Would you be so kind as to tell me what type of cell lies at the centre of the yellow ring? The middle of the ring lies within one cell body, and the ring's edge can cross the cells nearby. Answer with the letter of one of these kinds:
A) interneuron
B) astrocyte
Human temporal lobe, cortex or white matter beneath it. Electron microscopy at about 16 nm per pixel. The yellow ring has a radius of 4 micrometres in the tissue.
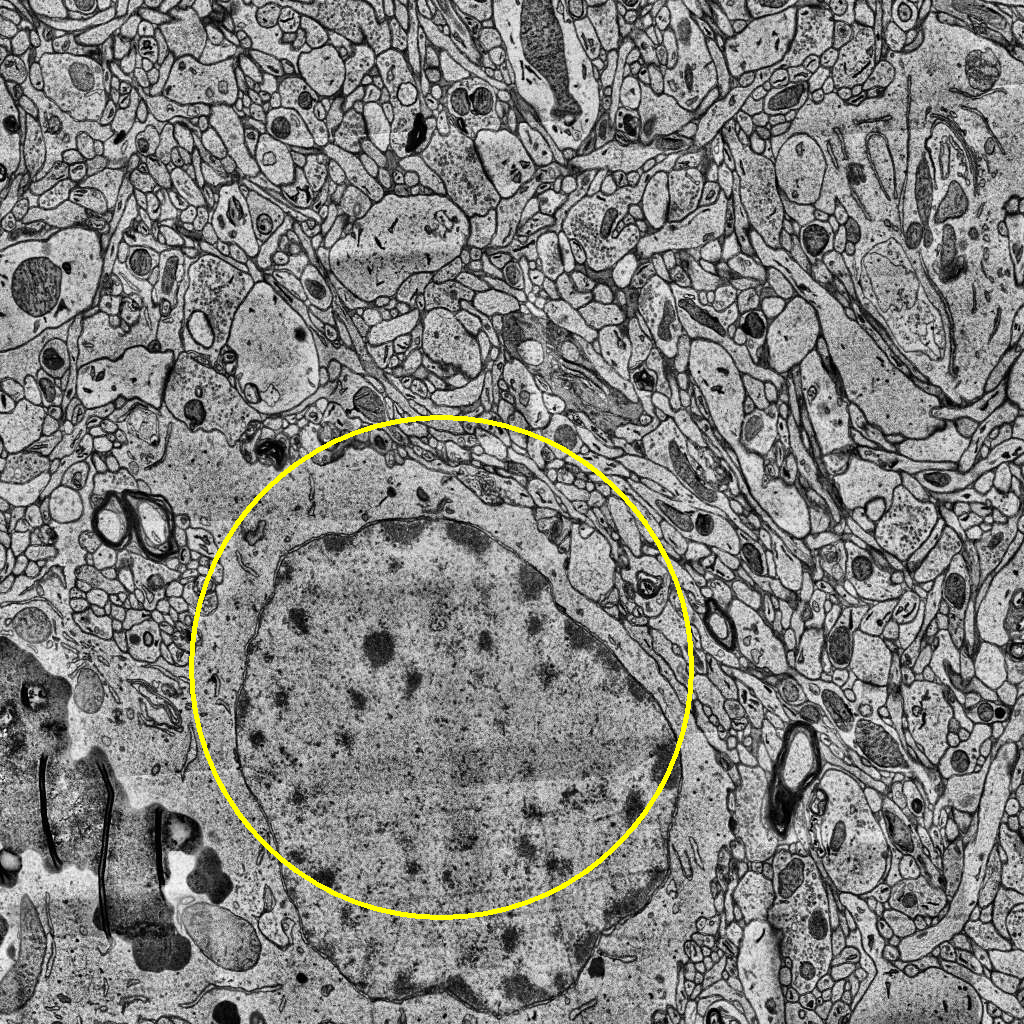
B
